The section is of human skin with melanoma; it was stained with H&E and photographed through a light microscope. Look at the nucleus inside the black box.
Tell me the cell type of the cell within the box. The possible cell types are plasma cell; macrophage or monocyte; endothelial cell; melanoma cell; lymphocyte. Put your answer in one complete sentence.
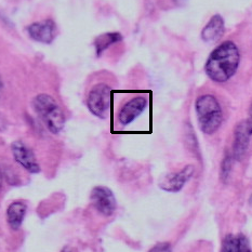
As for its identity, the cell within the box is a melanoma cell.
